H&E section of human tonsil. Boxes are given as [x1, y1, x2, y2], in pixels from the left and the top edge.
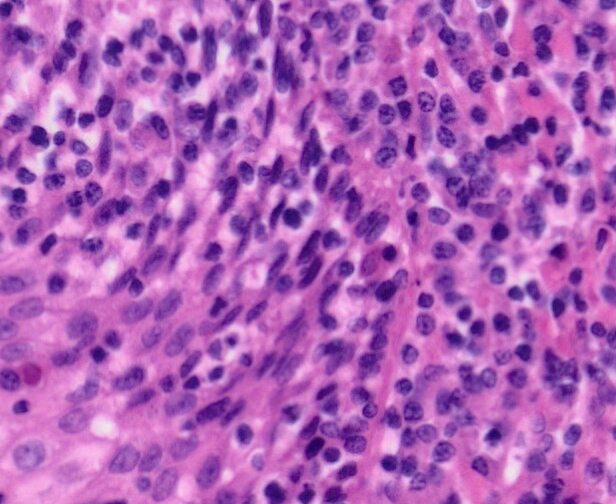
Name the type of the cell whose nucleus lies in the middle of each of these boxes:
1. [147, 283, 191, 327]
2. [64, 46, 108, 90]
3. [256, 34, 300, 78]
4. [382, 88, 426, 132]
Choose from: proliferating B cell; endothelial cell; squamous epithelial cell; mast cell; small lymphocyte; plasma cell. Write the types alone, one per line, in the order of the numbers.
squamous epithelial cell
squamous epithelial cell
squamous epithelial cell
plasma cell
